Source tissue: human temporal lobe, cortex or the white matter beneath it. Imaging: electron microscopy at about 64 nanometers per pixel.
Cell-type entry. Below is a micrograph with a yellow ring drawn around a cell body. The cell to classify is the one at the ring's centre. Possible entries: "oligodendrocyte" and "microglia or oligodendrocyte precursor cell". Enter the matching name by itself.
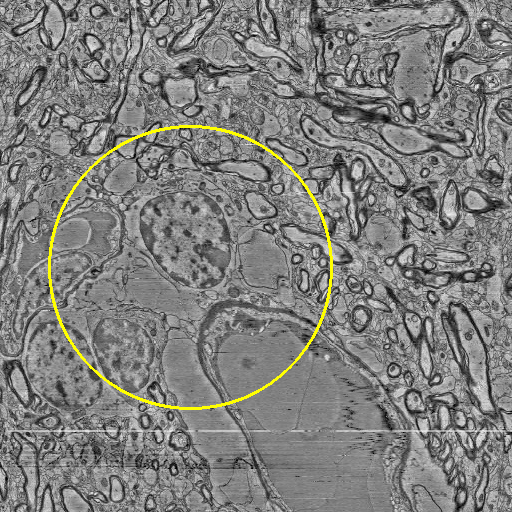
microglia or oligodendrocyte precursor cell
